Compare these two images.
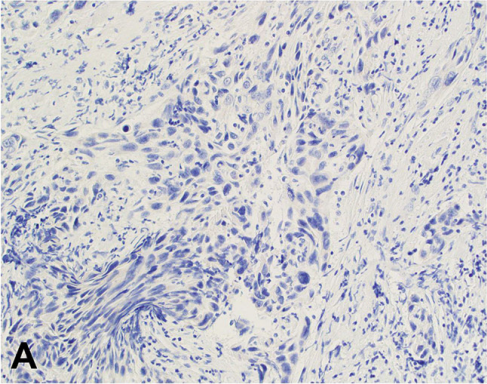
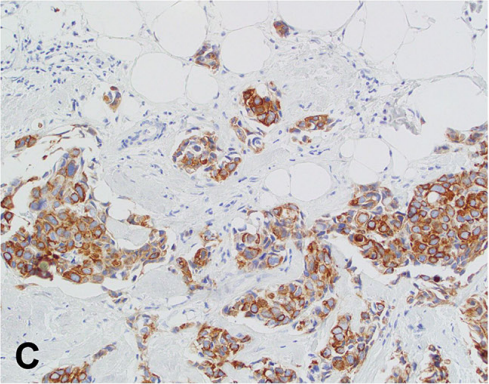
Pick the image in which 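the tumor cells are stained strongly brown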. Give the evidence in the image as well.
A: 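The second image. Second image: tumor cell nests show dense brown cytoplasm. First image: tumor cells are blue only, with no brown stain.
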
